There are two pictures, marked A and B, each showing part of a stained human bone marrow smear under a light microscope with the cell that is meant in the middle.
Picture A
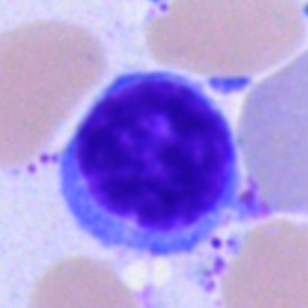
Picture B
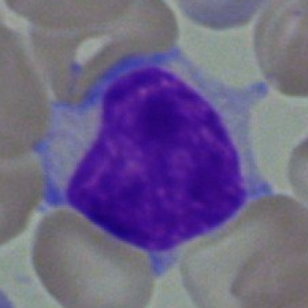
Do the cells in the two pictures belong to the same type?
yes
